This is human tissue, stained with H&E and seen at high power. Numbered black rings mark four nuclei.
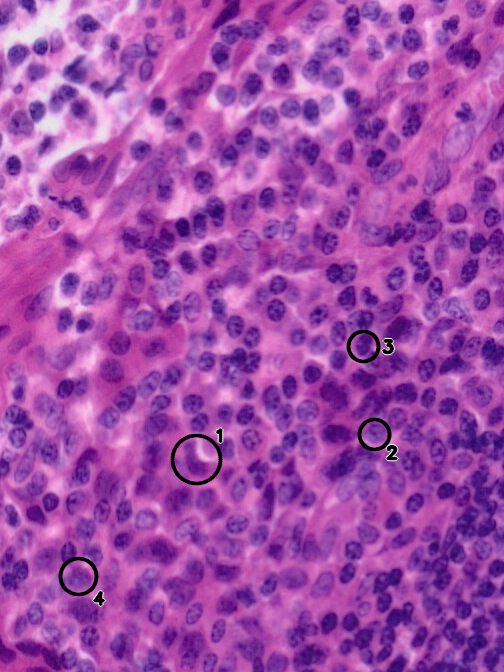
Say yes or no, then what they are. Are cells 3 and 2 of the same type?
No, cell 3 is a plasma cell and cell 2 is a squamous epithelial cell.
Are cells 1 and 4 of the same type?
Yes, cells 1 and 4 are both termed squamous epithelial cells.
